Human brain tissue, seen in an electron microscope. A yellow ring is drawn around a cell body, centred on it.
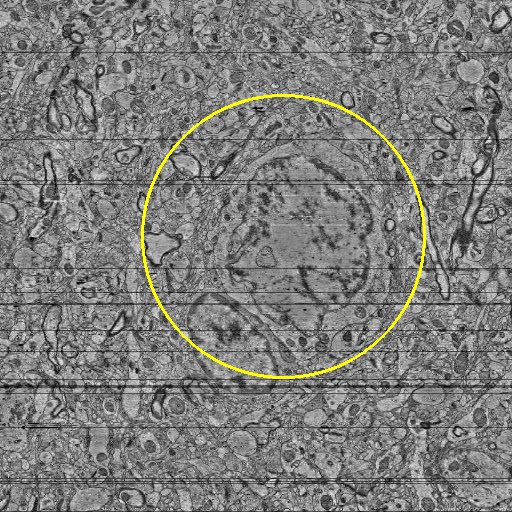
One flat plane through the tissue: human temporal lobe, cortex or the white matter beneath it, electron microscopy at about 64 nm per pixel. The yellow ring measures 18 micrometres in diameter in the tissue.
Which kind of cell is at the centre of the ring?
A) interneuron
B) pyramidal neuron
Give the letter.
A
